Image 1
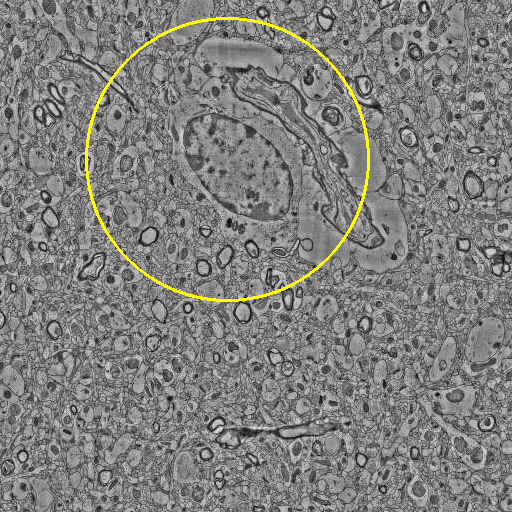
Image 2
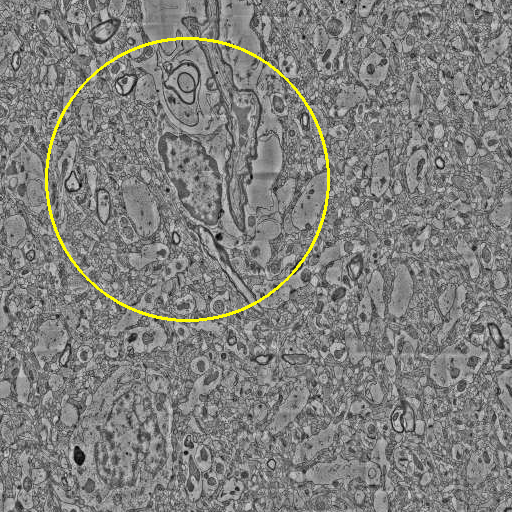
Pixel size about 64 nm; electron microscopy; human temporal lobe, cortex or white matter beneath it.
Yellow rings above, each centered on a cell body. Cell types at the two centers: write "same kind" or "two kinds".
same kind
